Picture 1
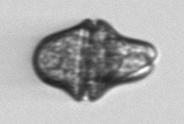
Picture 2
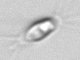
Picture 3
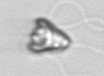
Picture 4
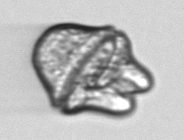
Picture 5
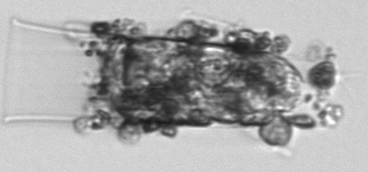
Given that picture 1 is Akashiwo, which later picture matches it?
4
